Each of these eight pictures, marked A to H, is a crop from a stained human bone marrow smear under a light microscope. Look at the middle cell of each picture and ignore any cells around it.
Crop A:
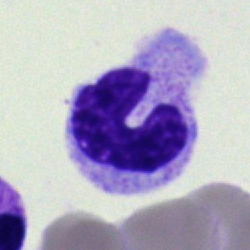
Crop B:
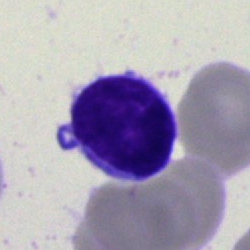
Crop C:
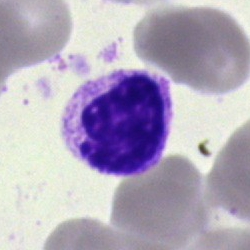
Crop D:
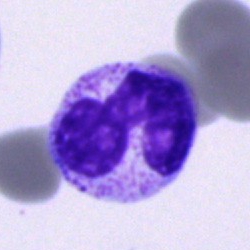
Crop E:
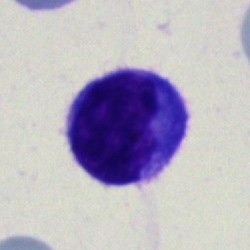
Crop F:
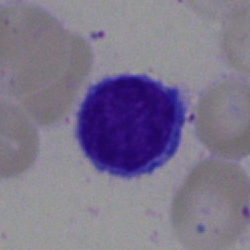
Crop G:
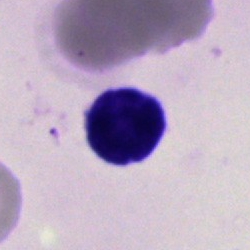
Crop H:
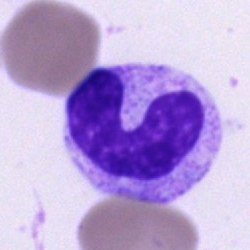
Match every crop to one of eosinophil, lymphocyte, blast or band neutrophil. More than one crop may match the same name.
A: band neutrophil
B: lymphocyte
C: band neutrophil
D: band neutrophil
E: lymphocyte
F: lymphocyte
G: lymphocyte
H: band neutrophil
